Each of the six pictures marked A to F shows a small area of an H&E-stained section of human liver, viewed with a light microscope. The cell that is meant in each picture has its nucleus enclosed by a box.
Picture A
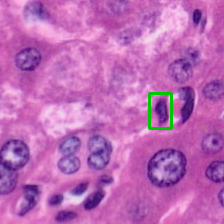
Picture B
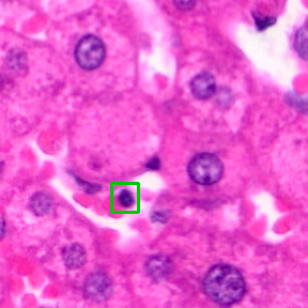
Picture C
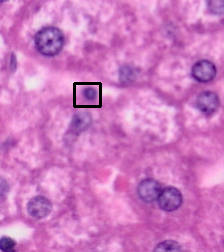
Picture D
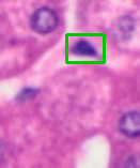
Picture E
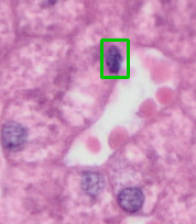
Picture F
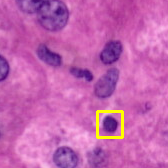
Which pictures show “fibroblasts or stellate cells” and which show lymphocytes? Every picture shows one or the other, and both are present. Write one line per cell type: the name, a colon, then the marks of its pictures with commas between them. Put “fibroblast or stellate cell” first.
fibroblast or stellate cell: A, E
lymphocyte: B, C, D, F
